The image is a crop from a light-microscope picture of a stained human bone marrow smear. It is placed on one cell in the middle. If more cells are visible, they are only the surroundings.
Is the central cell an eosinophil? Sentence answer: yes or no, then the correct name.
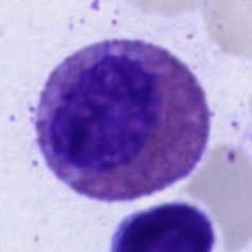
Yes, the cell in the middle of this smear crop is an eosinophil.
